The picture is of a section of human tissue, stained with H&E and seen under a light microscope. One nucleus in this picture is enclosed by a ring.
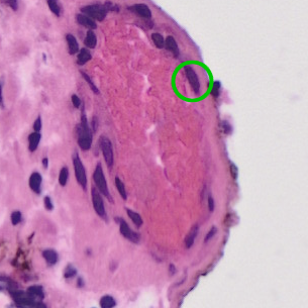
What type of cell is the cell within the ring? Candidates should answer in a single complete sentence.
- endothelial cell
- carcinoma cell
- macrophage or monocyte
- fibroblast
Recorded by type, the cell within the ring is an endothelial cell.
